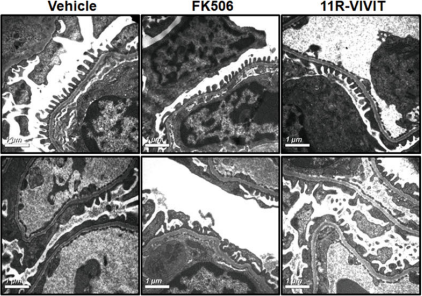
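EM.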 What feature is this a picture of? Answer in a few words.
foot process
